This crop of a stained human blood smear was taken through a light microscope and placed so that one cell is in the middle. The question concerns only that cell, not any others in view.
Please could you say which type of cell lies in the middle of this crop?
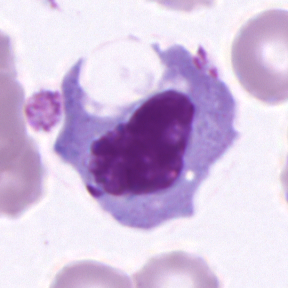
plasma cell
